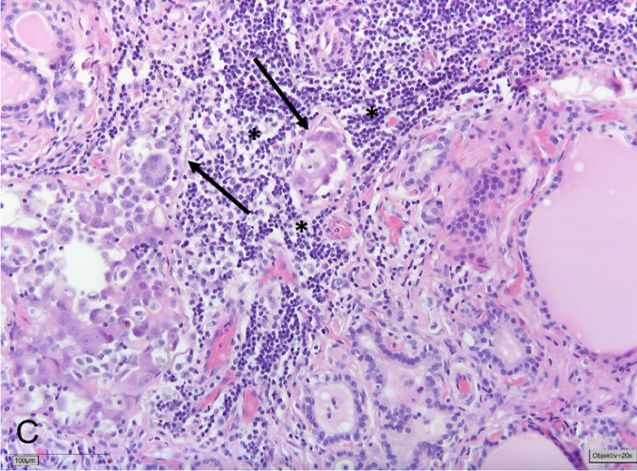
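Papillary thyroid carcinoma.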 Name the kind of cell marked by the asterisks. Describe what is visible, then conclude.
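Lymphocytes. Dense sheets of small round cells with dark round nuclei and scant cytoplasm.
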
